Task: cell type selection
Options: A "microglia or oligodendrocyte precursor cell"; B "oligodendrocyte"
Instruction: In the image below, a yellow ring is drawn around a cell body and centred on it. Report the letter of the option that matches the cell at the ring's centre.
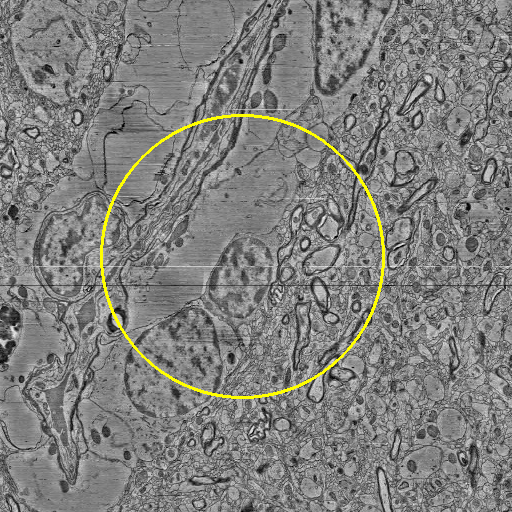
B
